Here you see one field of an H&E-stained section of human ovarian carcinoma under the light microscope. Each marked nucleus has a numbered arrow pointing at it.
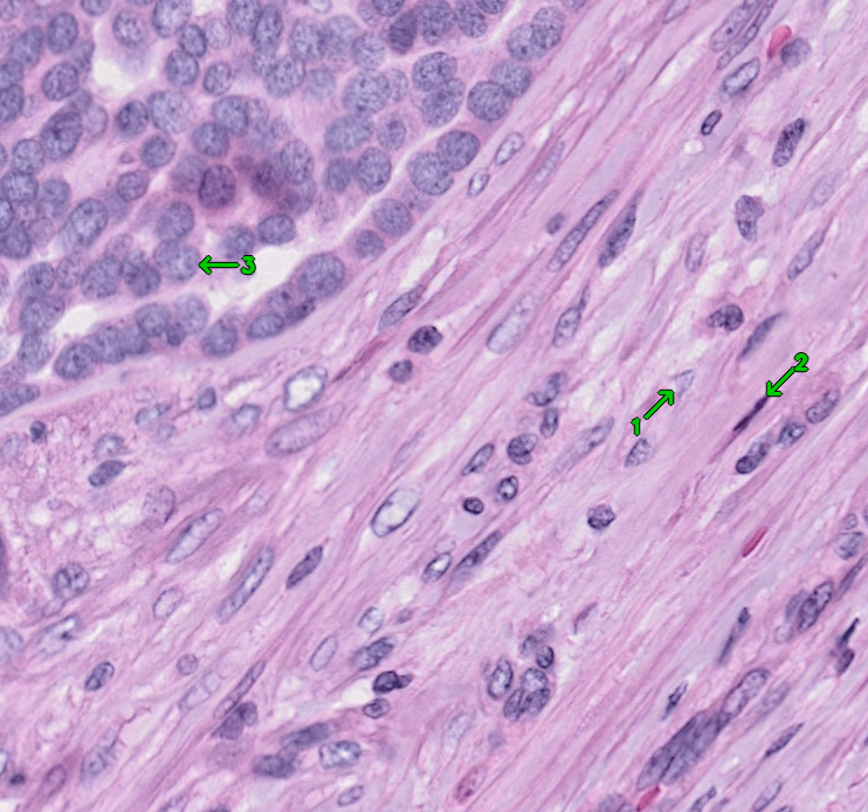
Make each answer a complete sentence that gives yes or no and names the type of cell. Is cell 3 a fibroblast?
No, a carcinoma cell, not a fibroblast, is the cell with number 3.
